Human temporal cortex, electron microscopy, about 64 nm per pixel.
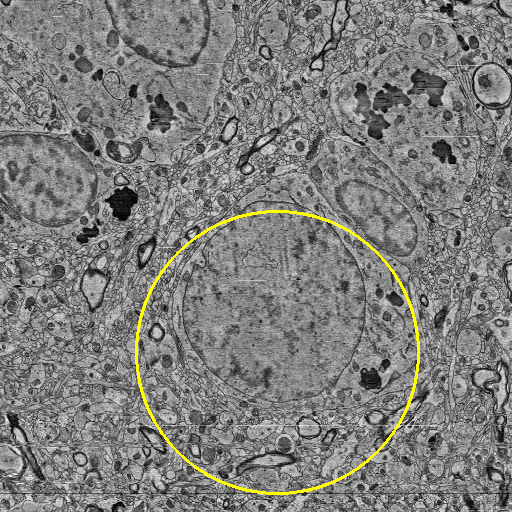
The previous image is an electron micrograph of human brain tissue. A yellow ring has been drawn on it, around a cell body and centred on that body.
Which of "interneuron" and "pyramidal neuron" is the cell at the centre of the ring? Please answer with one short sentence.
The cell body at the centre of the ring belongs to a pyramidal neuron.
